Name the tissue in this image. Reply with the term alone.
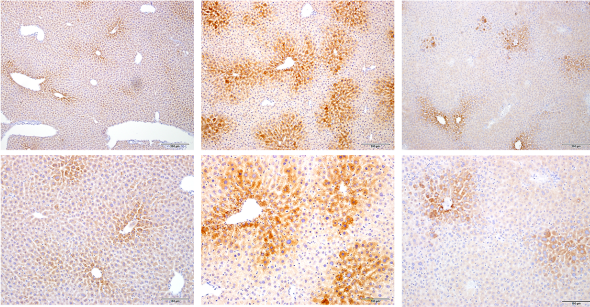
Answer: Livers.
